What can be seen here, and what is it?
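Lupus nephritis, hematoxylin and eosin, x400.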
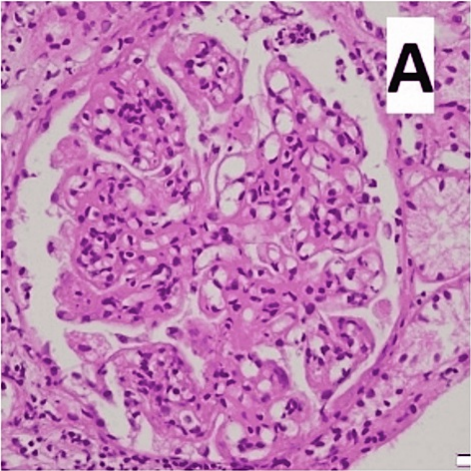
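A kidney glomerulus with mesangial hypercellularity is shown. The capillary tuft is large and divided into lobules separated by pink stalks in which dark purple nuclei are crowded together. Capillary loops with thin pink walls and open pale lumens lie at the edges of the lobules. A clear space separates the tuft from the surrounding capsule, which is lined by flat cells.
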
